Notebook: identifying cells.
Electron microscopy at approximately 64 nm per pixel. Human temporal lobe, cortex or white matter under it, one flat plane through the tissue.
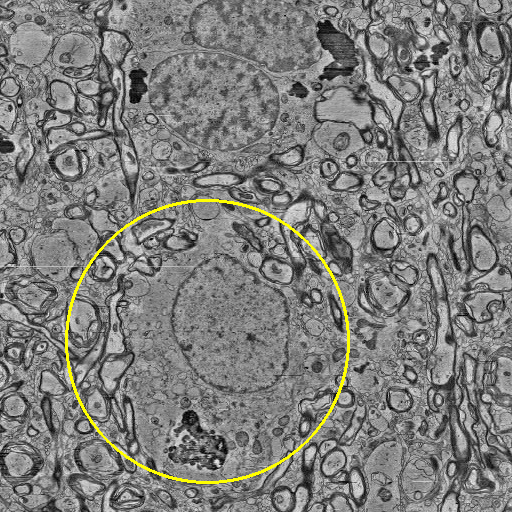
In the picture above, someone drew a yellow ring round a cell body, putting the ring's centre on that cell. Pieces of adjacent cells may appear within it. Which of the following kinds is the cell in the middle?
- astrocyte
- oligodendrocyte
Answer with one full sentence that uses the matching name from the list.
In this picture, the yellow ring is centred on the body of an astrocyte.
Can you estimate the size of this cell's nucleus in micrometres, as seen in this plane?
The nucleus comes to roughly 9 by 8 micrometres in this plane.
